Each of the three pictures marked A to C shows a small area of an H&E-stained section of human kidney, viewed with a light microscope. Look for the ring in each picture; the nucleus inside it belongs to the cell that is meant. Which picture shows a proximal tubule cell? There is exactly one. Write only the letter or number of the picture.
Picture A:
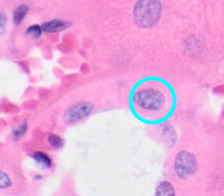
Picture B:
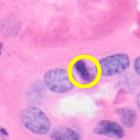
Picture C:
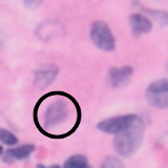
C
